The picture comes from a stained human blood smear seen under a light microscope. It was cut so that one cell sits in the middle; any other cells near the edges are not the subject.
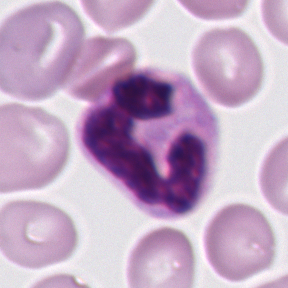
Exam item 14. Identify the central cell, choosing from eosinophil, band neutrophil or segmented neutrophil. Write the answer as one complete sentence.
For this crop, the central cell is a segmented neutrophil.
